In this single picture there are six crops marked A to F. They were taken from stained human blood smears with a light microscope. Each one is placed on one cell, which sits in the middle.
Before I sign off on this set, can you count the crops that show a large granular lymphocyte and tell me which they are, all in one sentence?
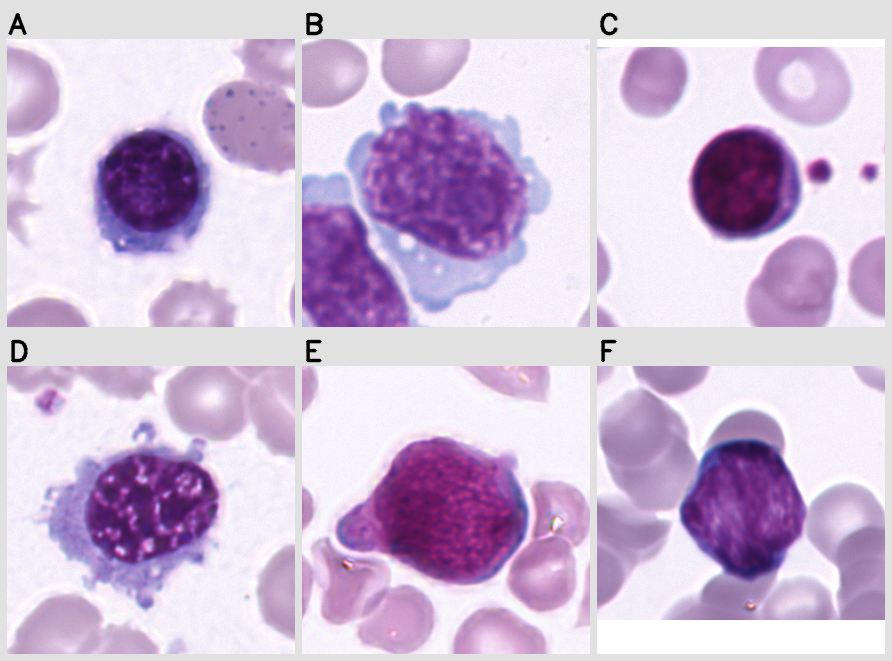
Looking across the crops, there is only one with a large granular lymphocyte, and it is crop C.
